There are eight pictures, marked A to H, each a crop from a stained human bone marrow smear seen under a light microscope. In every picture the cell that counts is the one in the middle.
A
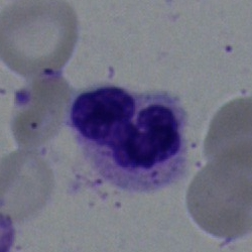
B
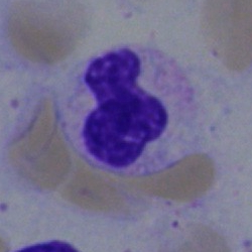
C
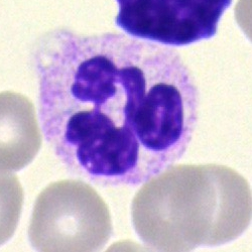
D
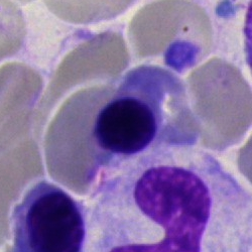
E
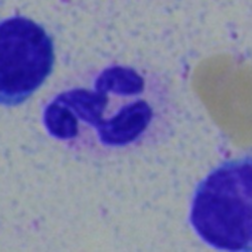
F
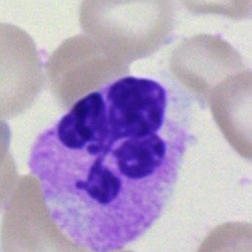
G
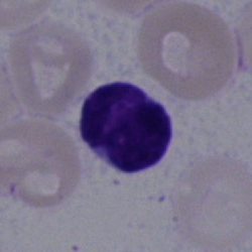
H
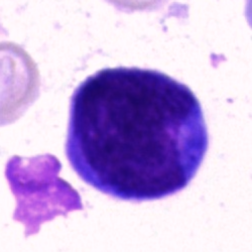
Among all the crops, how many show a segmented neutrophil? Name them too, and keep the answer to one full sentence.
In crops A, C, E and F, four in all, the central cells are segmented neutrophils.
